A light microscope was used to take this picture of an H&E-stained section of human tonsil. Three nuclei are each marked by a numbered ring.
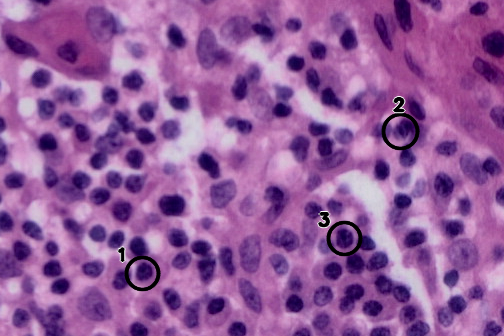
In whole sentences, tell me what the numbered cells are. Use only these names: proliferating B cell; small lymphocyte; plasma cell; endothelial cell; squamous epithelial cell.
Cell 1 is a plasma cell, cell 2 is a squamous epithelial cell and cell 3 is a plasma cell.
